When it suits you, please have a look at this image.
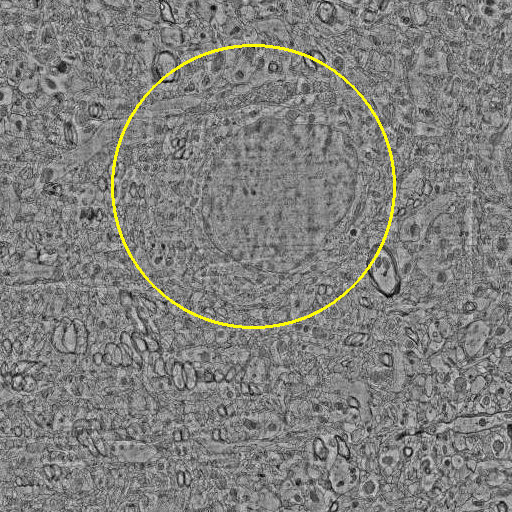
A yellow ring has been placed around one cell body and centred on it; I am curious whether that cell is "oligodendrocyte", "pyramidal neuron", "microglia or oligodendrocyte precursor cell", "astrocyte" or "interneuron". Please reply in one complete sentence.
The ringed cell, an interneuron, has its body at the centre of the yellow ring.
